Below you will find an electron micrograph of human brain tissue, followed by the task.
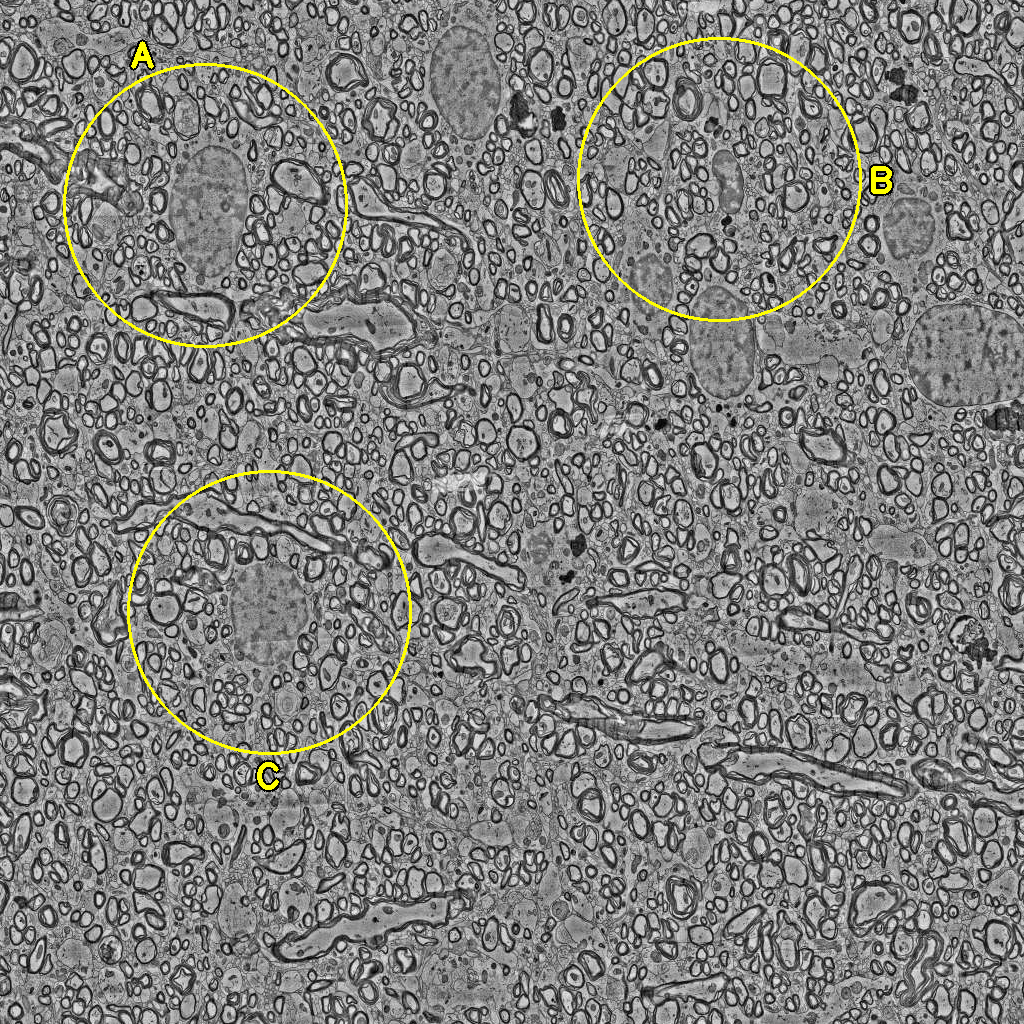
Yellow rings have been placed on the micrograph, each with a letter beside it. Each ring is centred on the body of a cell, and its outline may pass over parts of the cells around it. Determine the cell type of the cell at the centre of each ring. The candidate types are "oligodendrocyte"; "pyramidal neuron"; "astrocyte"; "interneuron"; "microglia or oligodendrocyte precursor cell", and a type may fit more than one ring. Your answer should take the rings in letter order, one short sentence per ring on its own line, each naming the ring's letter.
The centre of ring A falls on an oligodendrocyte.
The centre of ring B falls on a microglial cell or oligodendrocyte precursor cell.
The centre of ring C falls on an oligodendrocyte.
